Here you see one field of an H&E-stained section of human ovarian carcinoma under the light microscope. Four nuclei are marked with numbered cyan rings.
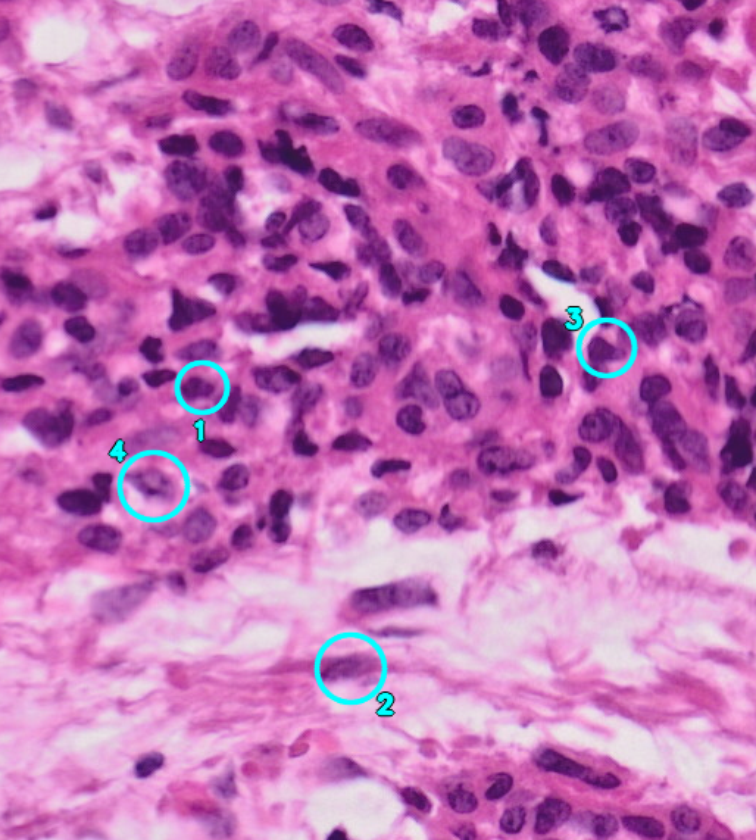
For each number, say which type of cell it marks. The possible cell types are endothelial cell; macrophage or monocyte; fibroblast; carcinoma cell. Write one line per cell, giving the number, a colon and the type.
1: carcinoma cell
2: fibroblast
3: carcinoma cell
4: macrophage or monocyte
